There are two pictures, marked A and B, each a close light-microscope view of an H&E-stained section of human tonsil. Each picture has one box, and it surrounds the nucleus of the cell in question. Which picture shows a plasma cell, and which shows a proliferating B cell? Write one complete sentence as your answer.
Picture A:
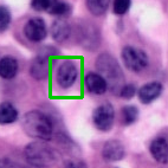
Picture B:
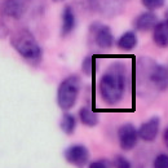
In picture A the cell is a plasma cell; in picture B, a proliferating B cell.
